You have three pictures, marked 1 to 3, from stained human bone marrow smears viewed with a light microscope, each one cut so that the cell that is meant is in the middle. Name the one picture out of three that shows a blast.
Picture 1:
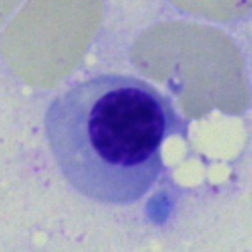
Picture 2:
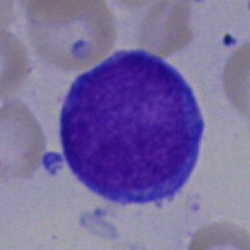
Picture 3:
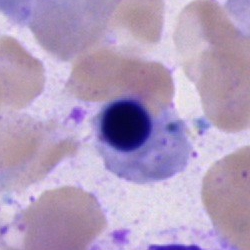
2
